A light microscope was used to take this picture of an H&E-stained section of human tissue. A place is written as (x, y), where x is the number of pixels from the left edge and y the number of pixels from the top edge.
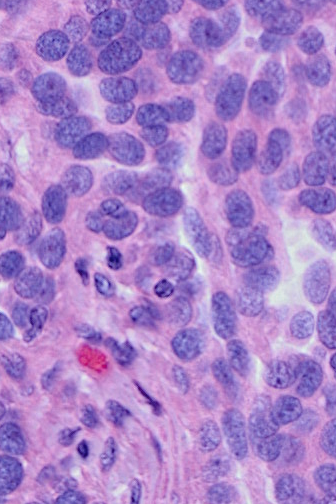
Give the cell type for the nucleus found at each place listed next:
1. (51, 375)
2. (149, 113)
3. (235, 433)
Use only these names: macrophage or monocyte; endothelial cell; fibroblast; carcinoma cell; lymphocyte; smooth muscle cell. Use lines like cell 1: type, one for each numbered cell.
cell 1: fibroblast
cell 2: carcinoma cell
cell 3: carcinoma cell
